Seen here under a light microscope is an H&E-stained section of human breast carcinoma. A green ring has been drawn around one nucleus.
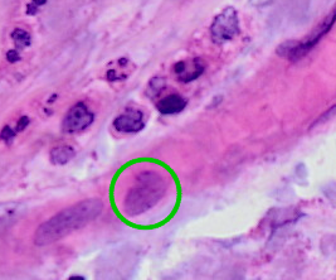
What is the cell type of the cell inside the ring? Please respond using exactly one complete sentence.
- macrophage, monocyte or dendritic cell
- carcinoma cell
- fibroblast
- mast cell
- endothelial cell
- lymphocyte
Considered by cell type, the cell inside the ring is an endothelial cell.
